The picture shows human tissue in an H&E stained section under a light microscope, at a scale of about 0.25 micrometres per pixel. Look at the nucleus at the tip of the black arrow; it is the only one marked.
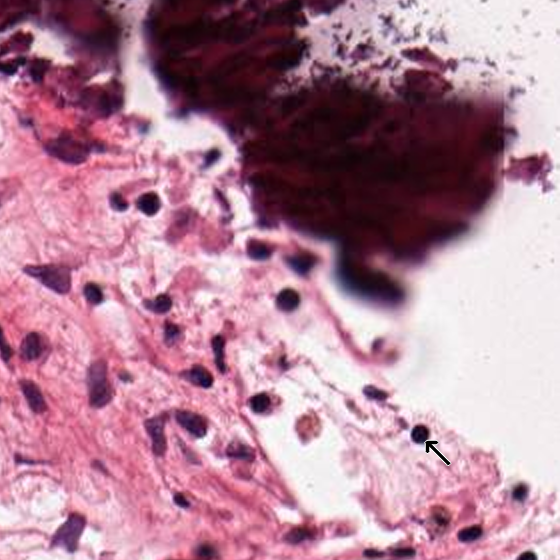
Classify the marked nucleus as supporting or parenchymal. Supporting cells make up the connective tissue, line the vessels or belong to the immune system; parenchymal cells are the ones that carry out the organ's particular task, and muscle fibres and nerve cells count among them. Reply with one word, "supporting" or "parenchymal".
supporting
